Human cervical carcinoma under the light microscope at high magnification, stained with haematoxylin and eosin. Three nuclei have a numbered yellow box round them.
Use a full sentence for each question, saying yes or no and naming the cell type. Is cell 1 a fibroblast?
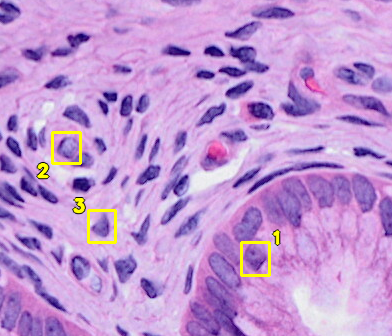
No, cell number 1 is a secretory epithelial cell; it is not a fibroblast.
